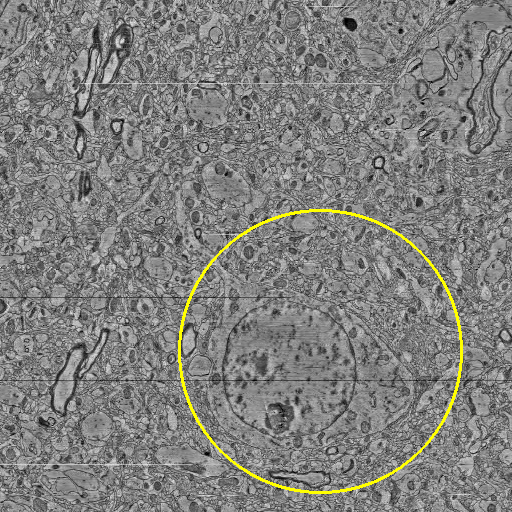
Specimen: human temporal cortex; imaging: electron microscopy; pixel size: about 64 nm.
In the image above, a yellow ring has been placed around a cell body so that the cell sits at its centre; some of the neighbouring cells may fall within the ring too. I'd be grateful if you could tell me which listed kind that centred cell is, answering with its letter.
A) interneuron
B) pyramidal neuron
B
